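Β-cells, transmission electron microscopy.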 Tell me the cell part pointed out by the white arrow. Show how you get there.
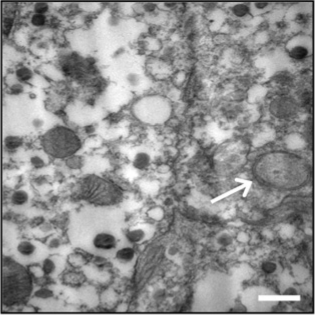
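Autophagosomes. The arrow points to a round membrane-bound body containing granular material. The body is about the size of the nearby mitochondria.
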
